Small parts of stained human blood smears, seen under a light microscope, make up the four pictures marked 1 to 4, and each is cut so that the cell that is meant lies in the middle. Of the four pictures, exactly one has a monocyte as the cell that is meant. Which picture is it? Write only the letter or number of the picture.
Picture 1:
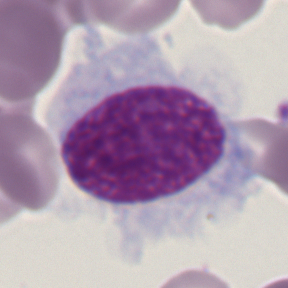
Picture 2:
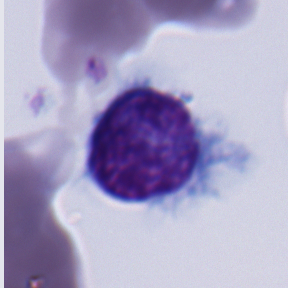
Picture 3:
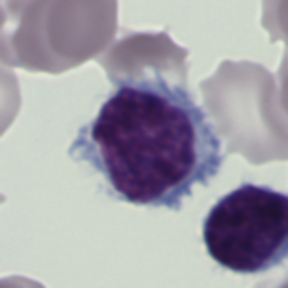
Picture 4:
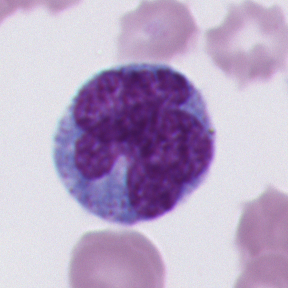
4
